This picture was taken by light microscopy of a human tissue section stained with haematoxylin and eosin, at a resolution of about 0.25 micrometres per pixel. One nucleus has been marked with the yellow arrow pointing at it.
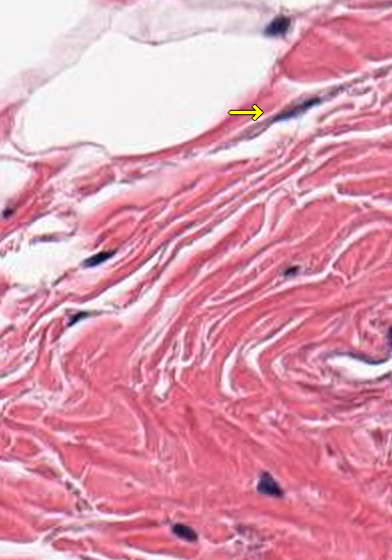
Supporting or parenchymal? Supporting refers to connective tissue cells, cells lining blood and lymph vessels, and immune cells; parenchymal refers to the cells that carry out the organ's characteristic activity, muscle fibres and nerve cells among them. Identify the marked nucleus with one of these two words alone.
supporting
